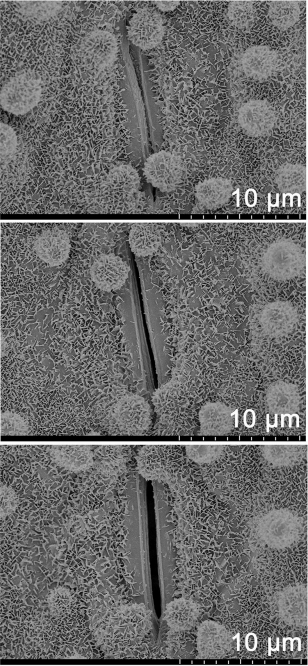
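Scanning electron images of stomata on an epidermal surface, each centred on a single stoma formed by a pair of elongated guard cells that flank a narrow slit-like pore. Down the three images the pore ranges from a barely visible line, to a narrow dark slit, to a wider dark opening. The surrounding surface is densely covered with small platelet-like projections that give it a rough texture. Scattered rounded bodies with the same rough texture lie on the surface around each stoma.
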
